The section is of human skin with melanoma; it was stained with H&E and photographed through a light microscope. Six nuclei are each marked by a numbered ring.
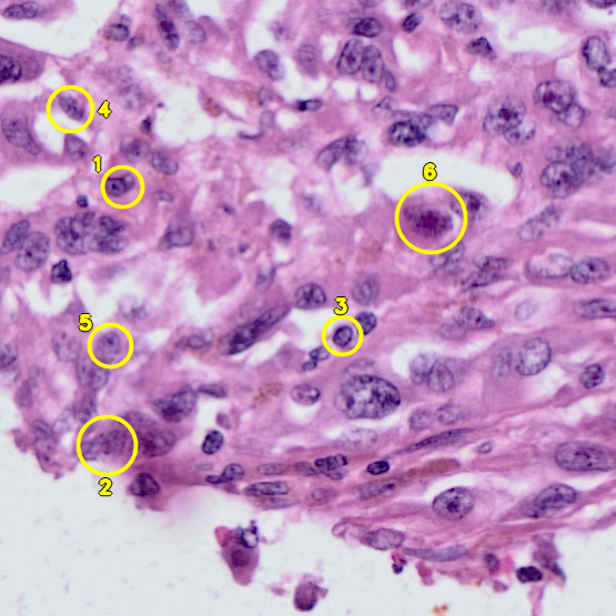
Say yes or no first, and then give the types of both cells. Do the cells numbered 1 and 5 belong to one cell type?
No, cell 1 is a macrophage or monocyte and cell 5 is a melanoma cell.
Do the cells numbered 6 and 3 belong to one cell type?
No, cell 6 is a melanoma cell and cell 3 is a lymphocyte.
